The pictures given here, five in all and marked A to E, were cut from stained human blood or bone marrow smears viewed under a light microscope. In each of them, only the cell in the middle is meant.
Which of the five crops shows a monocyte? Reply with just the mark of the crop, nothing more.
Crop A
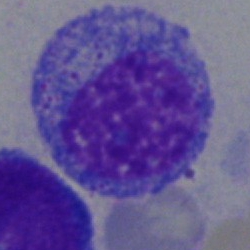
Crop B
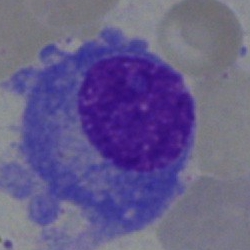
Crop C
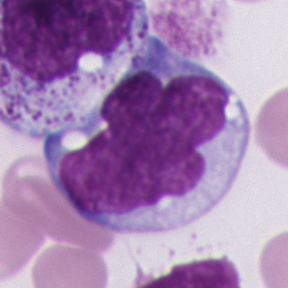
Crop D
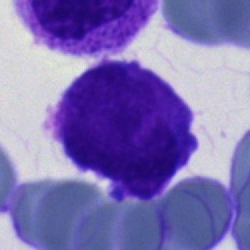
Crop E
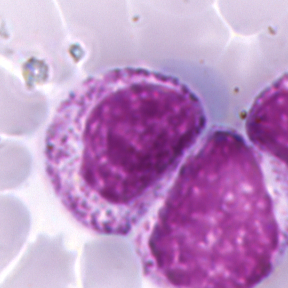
C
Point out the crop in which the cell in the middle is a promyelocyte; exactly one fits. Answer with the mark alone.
A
